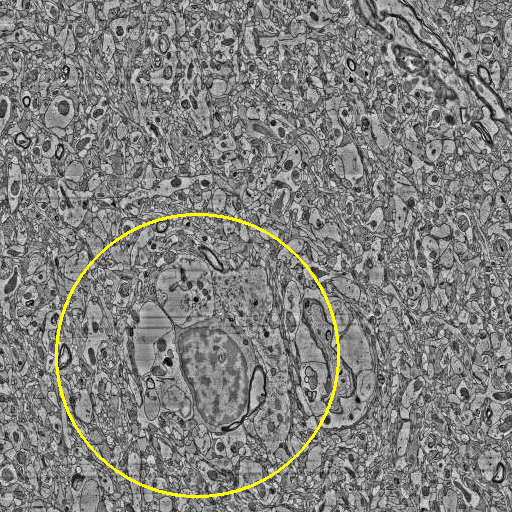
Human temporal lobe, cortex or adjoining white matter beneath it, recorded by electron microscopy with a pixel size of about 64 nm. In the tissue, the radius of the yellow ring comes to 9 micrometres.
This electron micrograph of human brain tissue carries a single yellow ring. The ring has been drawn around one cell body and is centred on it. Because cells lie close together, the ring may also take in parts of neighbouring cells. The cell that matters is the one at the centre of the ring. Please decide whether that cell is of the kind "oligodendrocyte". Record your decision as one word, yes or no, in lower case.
yes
